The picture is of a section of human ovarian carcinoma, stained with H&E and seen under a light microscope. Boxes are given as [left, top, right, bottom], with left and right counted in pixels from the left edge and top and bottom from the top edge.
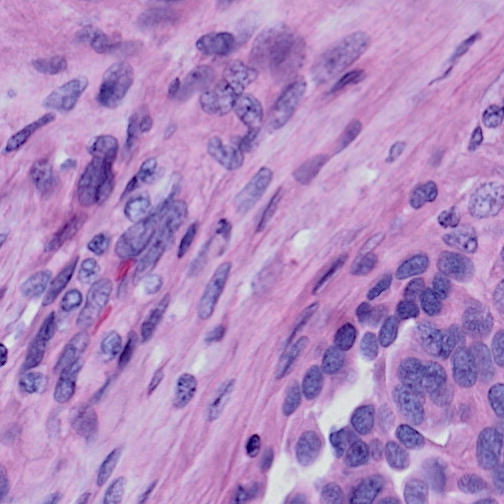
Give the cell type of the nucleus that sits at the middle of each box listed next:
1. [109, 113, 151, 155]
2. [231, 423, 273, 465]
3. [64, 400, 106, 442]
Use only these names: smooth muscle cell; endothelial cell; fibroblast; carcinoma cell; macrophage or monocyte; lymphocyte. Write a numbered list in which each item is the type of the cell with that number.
1. fibroblast
2. lymphocyte
3. fibroblast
